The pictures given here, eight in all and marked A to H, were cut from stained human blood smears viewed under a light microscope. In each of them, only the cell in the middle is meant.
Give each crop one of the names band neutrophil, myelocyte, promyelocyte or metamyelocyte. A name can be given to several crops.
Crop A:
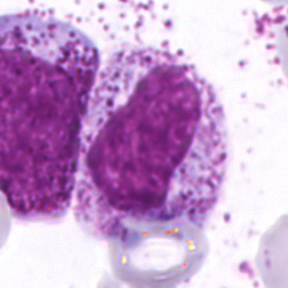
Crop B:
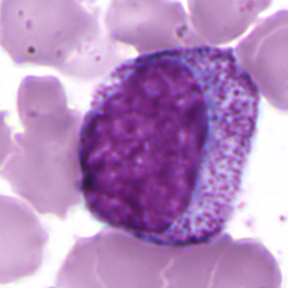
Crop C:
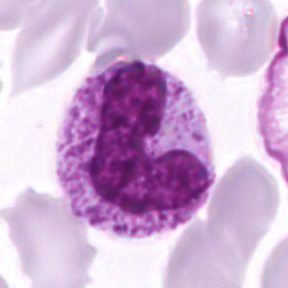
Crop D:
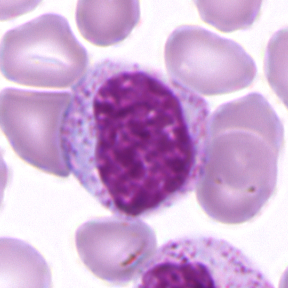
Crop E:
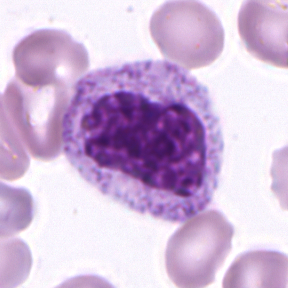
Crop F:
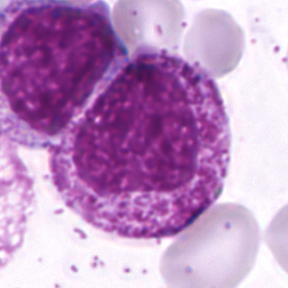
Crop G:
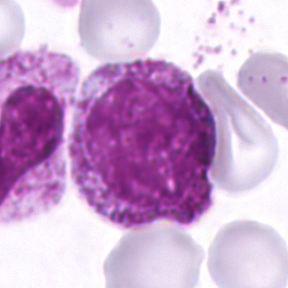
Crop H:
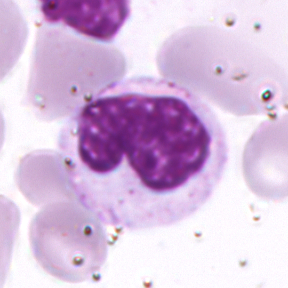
A: band neutrophil
B: promyelocyte
C: band neutrophil
D: metamyelocyte
E: metamyelocyte
F: myelocyte
G: myelocyte
H: band neutrophil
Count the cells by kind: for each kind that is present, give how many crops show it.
band neutrophil: 3
metamyelocyte: 2
myelocyte: 2
promyelocyte: 1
